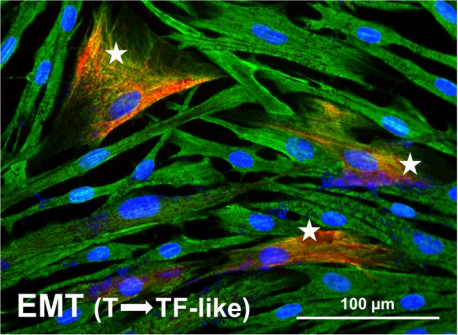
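A culture of elongated, spindle-shaped fibroblast-like cells lying roughly parallel, each with green filamentous cytoplasm and an oval blue nucleus. A few broader, more spread cells are marked by stars; their cytoplasm shows red mixed with the green, setting them apart from the surrounding thin spindle cells.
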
